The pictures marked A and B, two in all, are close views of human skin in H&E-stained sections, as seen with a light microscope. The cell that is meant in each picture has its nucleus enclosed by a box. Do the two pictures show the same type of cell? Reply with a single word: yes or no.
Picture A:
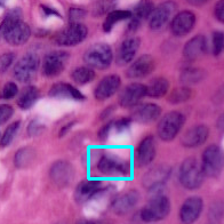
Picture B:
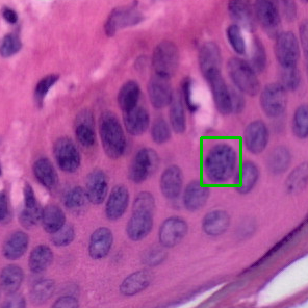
yes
